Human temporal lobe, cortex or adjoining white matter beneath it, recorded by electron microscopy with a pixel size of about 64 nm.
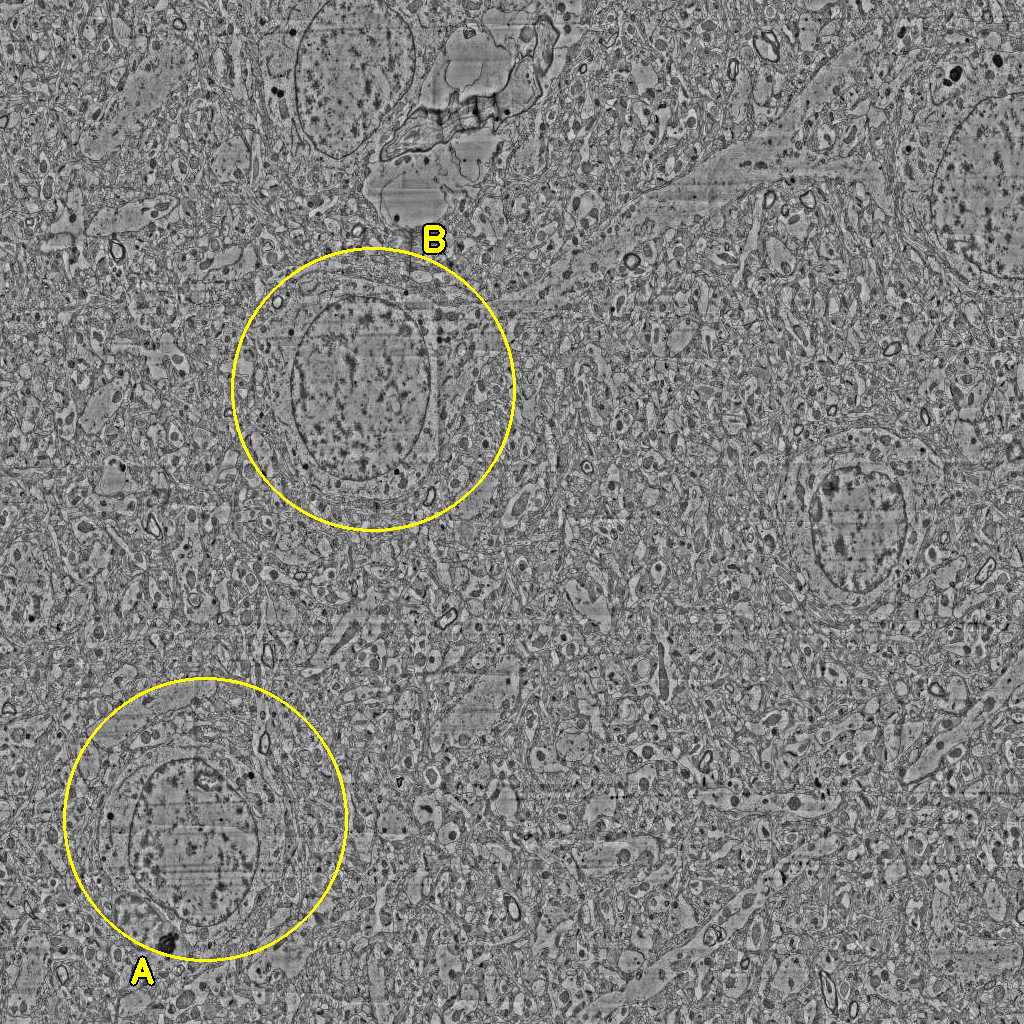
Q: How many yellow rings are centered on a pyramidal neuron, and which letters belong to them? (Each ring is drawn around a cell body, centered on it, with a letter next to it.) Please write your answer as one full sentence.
Taken together, the rings with the letters A and B number two, each centred on a pyramidal neuron.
